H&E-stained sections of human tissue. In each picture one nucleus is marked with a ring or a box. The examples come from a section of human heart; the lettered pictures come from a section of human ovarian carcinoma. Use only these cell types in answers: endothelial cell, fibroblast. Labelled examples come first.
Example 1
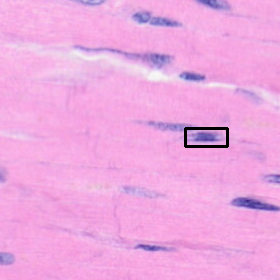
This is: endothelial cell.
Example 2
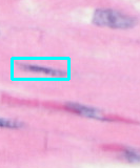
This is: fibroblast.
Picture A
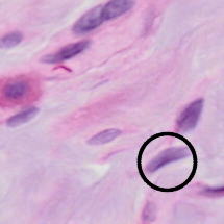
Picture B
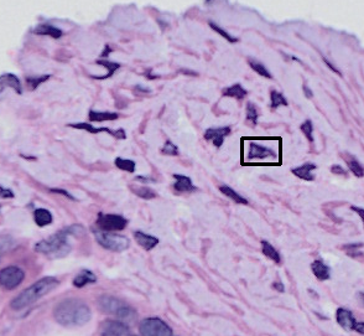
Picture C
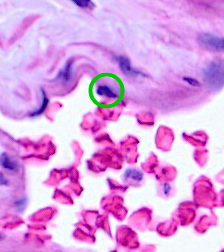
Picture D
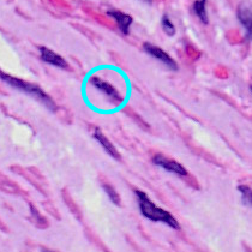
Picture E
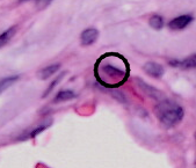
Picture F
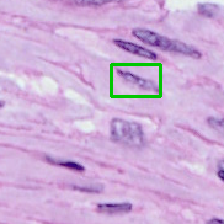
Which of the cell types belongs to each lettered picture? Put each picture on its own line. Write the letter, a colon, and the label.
A: fibroblast.
B: fibroblast.
C: endothelial cell.
D: fibroblast.
E: endothelial cell.
F: fibroblast.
